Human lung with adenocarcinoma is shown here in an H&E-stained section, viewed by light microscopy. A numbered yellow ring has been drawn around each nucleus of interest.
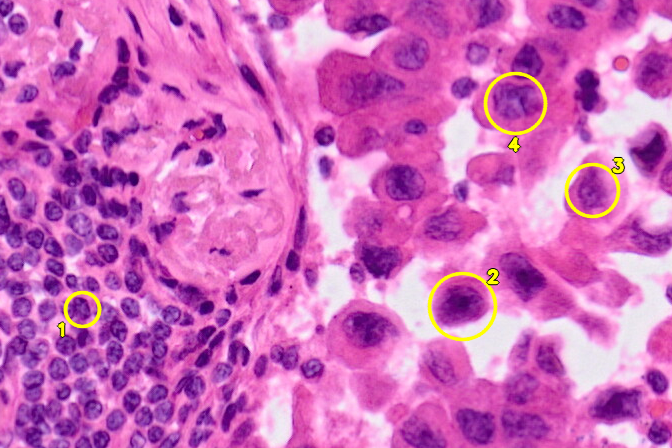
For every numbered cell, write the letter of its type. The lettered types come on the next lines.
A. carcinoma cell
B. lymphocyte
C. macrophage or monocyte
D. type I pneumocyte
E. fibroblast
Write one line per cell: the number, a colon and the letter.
1: B
2: A
3: A
4: A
